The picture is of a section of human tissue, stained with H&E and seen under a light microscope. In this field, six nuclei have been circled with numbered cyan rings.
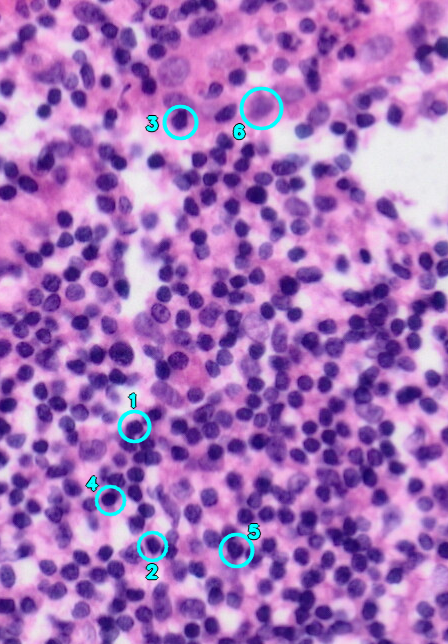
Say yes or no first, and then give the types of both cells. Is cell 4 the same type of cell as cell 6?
No; cell 4 is a small lymphocyte, whereas cell 6 is an endothelial cell.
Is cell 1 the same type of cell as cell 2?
Yes: cells 1 and 2 are both small lymphocytes.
